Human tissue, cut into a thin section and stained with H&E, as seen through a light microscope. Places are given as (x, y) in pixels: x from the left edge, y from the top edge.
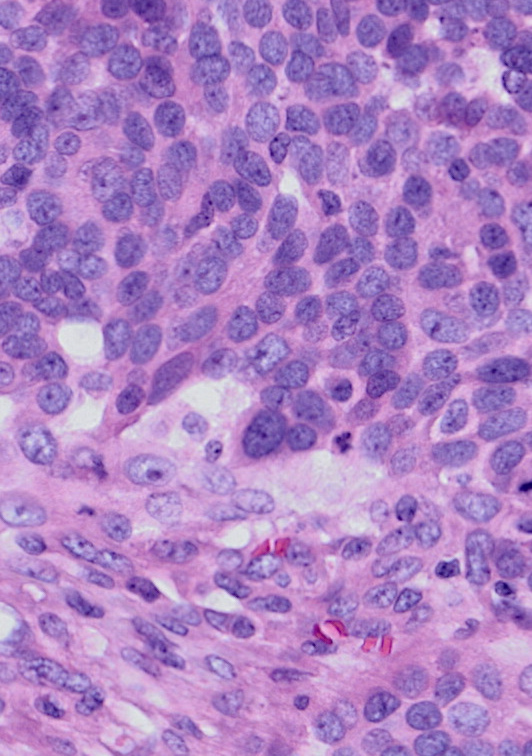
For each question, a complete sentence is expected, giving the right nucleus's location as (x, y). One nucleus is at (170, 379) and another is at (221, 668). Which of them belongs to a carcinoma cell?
The nucleus at (170, 379) is the one that belongs to a carcinoma cell.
